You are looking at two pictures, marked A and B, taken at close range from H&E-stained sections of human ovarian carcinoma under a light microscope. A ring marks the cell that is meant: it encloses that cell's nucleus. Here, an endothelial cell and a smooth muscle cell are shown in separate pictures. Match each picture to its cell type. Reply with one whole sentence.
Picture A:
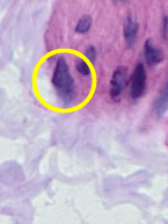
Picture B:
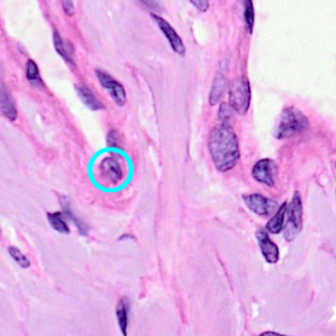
It is picture A that shows a smooth muscle cell, and picture B that shows an endothelial cell.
